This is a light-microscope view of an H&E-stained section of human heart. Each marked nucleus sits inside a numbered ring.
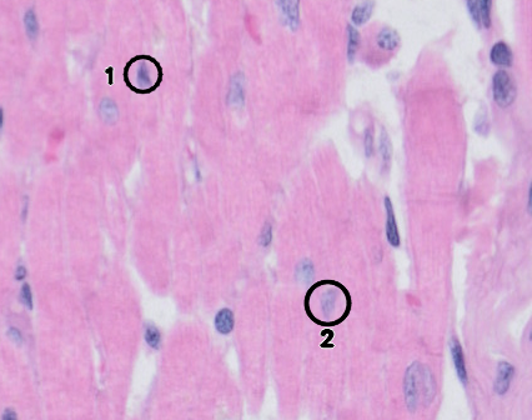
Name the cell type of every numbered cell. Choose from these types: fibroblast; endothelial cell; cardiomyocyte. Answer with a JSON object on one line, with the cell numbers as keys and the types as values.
{"1": "endothelial cell", "2": "cardiomyocyte"}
